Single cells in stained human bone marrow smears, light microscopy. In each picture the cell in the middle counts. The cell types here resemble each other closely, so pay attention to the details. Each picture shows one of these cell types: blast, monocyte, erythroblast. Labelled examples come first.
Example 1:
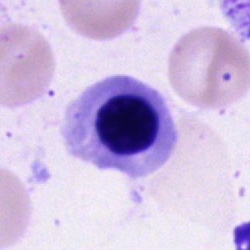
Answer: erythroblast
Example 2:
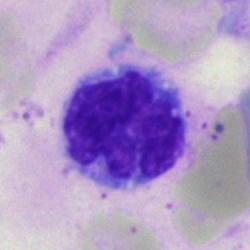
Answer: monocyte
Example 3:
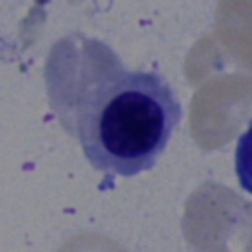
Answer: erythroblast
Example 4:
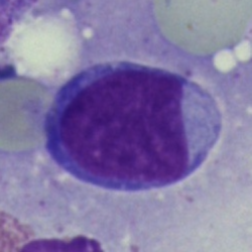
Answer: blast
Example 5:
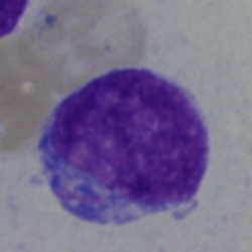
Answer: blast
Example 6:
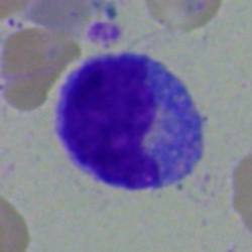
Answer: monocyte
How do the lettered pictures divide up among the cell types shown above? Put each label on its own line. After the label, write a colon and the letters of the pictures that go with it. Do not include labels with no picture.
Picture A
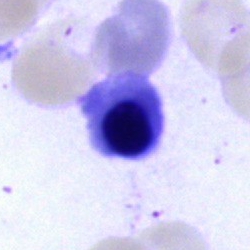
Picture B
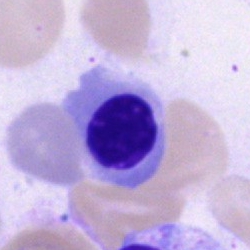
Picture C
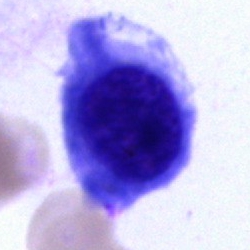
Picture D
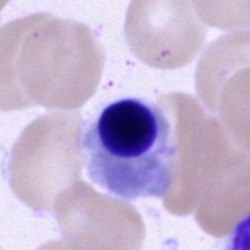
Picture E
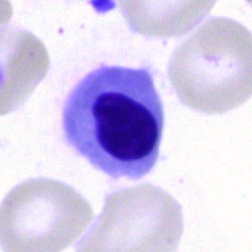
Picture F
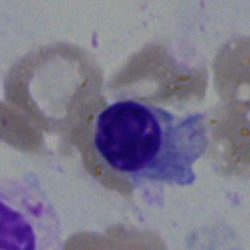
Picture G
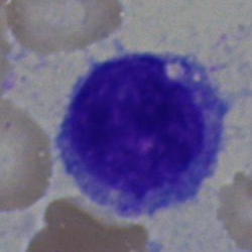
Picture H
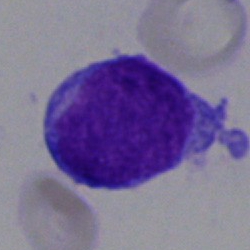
blast: H
monocyte: G
erythroblast: A, B, C, D, E, F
